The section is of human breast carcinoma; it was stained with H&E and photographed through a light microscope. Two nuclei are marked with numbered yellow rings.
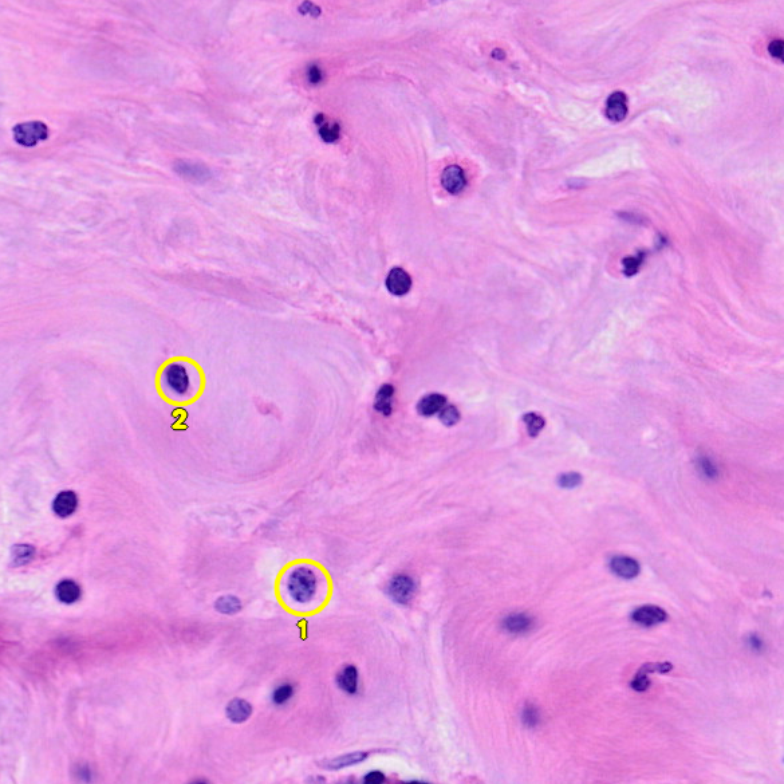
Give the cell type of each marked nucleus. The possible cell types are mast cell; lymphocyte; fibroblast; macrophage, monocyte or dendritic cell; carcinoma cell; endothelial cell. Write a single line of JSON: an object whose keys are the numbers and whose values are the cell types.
{"1": "mast cell", "2": "lymphocyte"}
